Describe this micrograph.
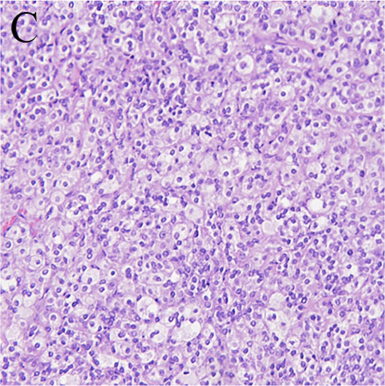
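This is a tumor made of epithelioid cells growing in diffuse sheets. The cells are rounded to polygonal with fairly distinct borders. Many have abundant clear, pale cytoplasm, while others have pink, eosinophilic cytoplasm. The nuclei are small to medium, round, dark and mostly central, and some cells have a vacuolated look. Thin strands of pink stroma run between groups of cells, and there is no glandular or layered organisation; the cells are packed fairly evenly across the field.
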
